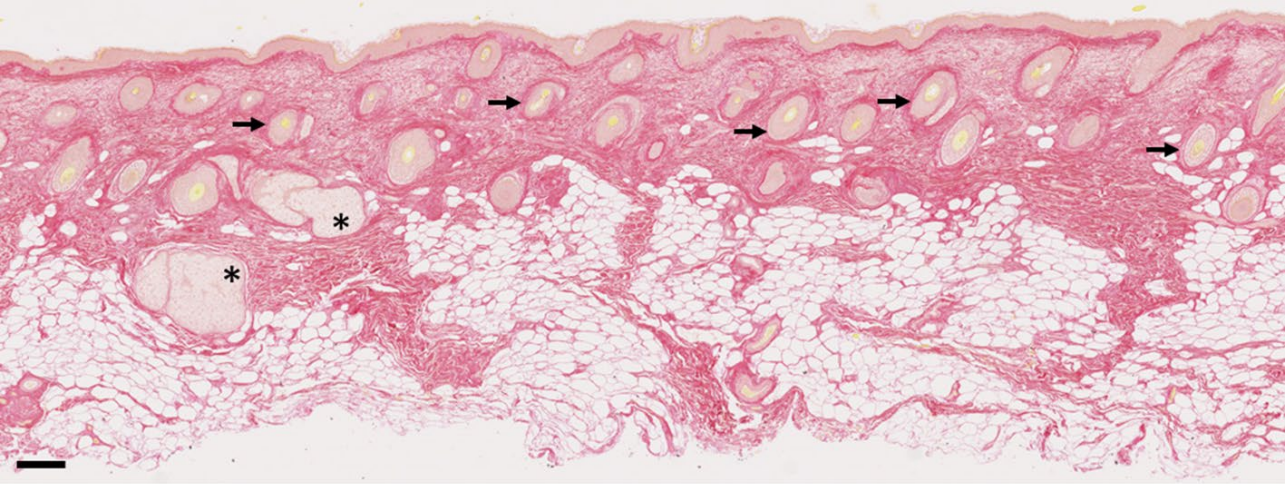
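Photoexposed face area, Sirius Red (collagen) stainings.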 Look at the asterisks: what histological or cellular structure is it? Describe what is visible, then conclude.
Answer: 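The asterisks lie on pale lobulated masses in the lower dermis. The masses have a finely foamy texture. They lack the yellow central core seen in the round profiles.
Answer: glands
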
